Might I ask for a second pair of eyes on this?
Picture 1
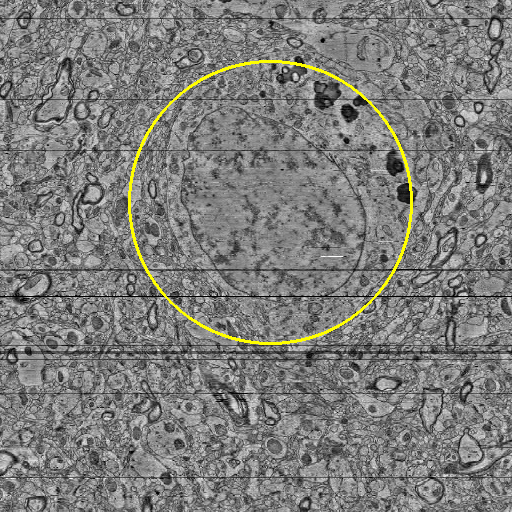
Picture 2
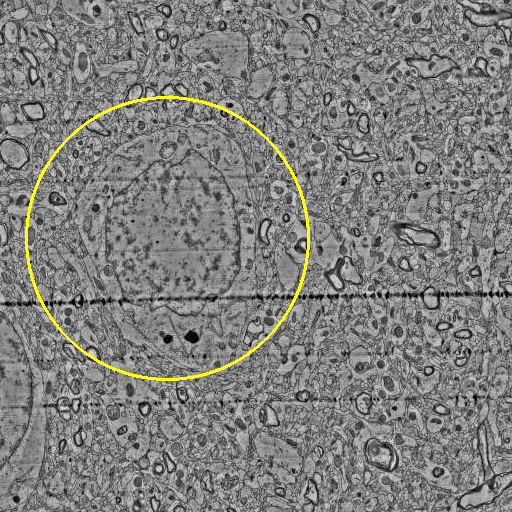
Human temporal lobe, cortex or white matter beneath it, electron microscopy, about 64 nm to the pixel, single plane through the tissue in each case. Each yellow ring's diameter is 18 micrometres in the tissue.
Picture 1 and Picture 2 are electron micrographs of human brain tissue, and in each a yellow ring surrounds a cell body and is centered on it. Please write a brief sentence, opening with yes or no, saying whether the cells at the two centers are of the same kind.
Yes, the cells are of the same kind.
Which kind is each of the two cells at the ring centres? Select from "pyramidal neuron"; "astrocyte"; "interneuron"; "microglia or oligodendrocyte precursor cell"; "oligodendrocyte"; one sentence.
Each cell, in the first picture and the second, is a pyramidal neuron.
